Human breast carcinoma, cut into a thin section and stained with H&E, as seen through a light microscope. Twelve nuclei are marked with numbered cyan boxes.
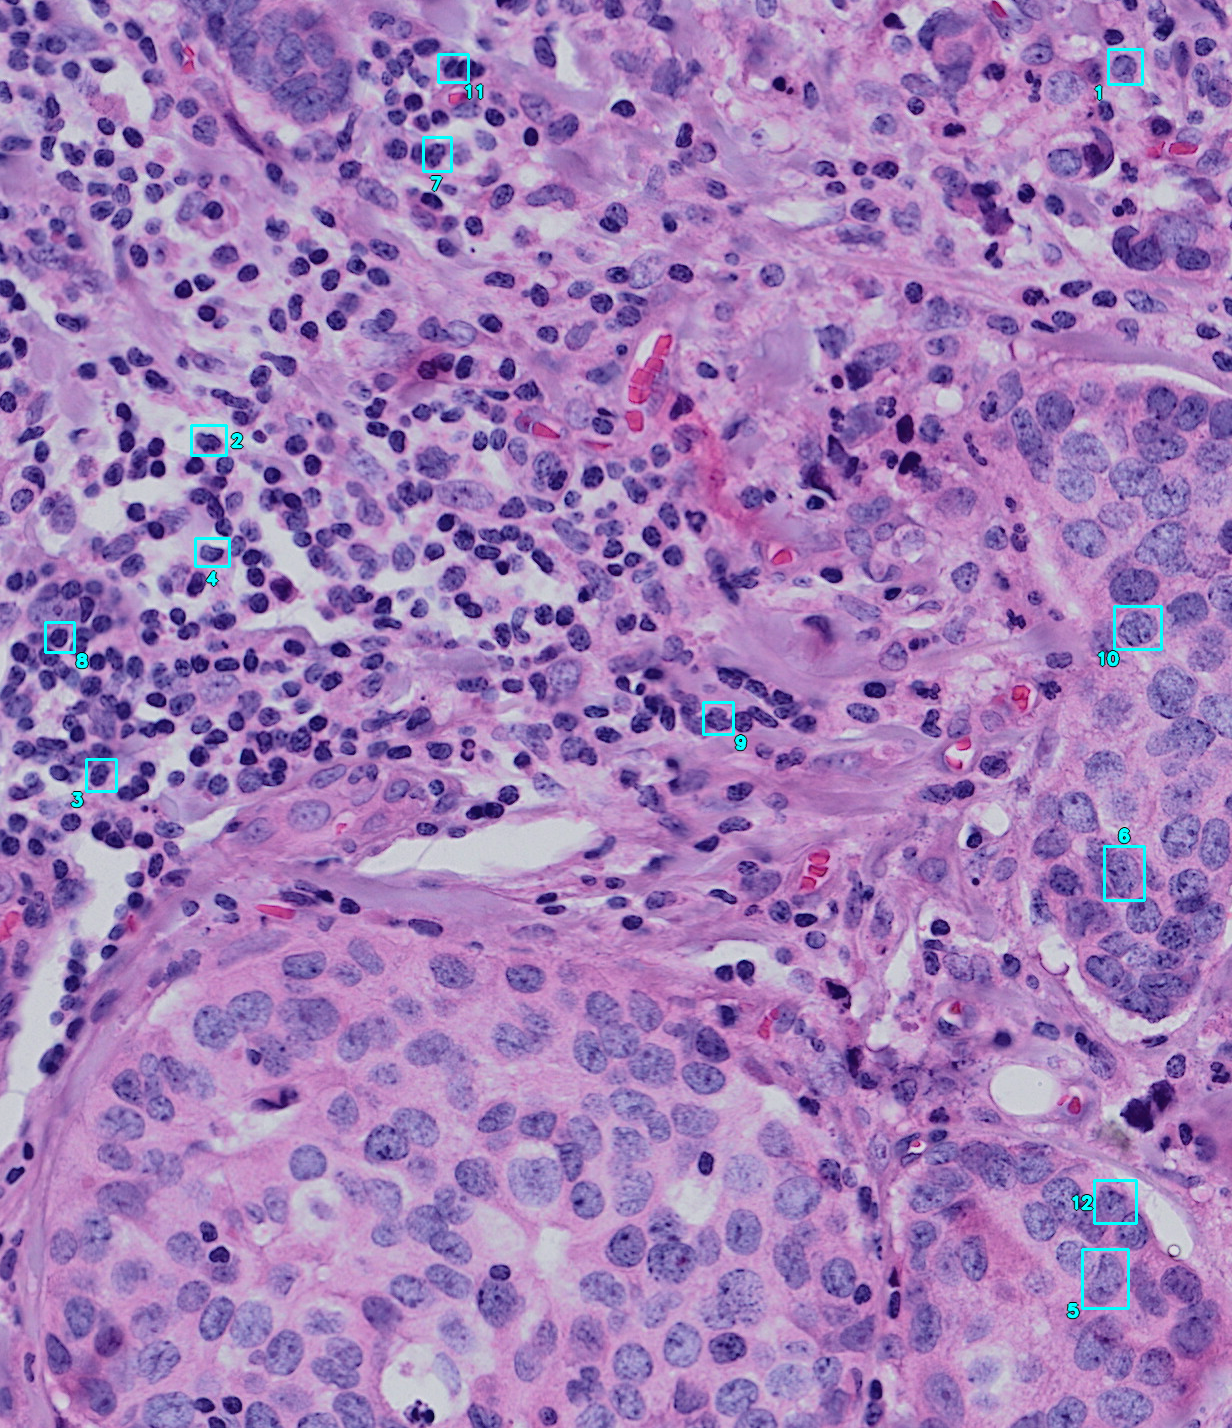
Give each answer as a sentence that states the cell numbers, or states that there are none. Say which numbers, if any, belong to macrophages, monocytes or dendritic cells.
Of all the numbered cells, only cell 1 is a macrophage, monocyte or dendritic cell.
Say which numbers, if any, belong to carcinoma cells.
Cells 5, 6, 10 and 12 are recognised here as carcinoma cells.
